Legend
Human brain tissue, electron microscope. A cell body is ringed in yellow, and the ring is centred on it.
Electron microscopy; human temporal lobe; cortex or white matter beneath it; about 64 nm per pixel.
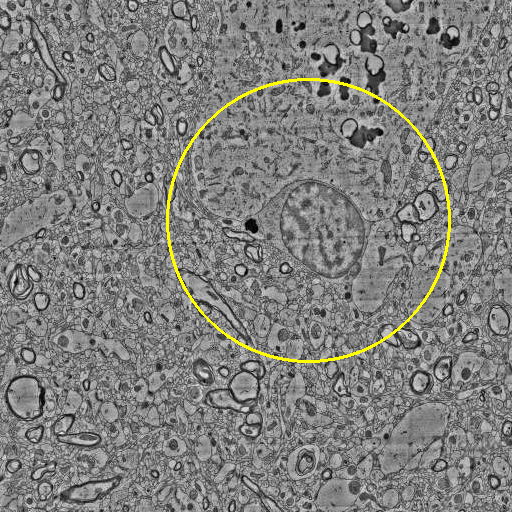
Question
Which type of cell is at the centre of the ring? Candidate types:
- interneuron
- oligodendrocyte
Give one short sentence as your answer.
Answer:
The yellow ring is centred here on an oligodendrocyte.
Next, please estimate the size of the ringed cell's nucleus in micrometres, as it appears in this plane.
In this plane the nucleus measures roughly 6 by 5 micrometres.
